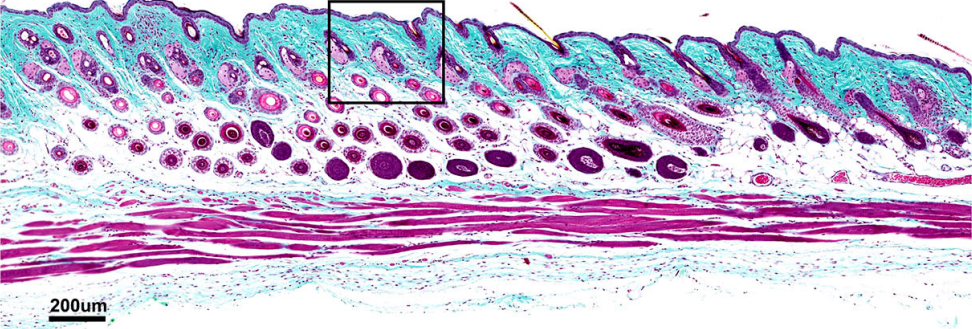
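This is a full-thickness strip of skin with the epidermis along the top, a dermis crowded with hair follicles, and a band of muscle beneath. The dermis is mostly blue-green fibrous collagen, loosely arranged and wavy. Hair follicles run obliquely from the surface and, deeper down, many are cut across as round purple and pink profiles packed side by side. Below the follicle layer lies a continuous band of long magenta-red muscle fibres running parallel to the surface. Under the muscle is looser pale connective tissue.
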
